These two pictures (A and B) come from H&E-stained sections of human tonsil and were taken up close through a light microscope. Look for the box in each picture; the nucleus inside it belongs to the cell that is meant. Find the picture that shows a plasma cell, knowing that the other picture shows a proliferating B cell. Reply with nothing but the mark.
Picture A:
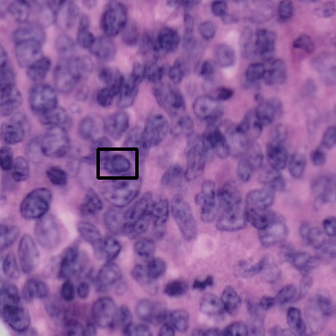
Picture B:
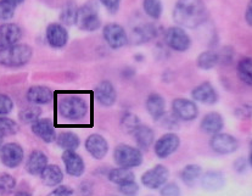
B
